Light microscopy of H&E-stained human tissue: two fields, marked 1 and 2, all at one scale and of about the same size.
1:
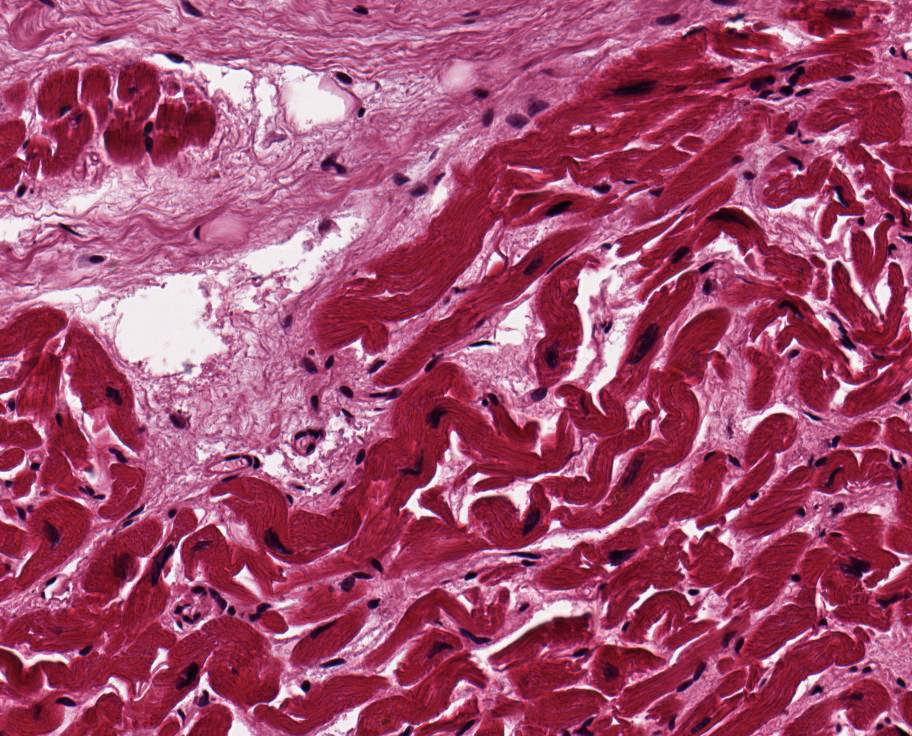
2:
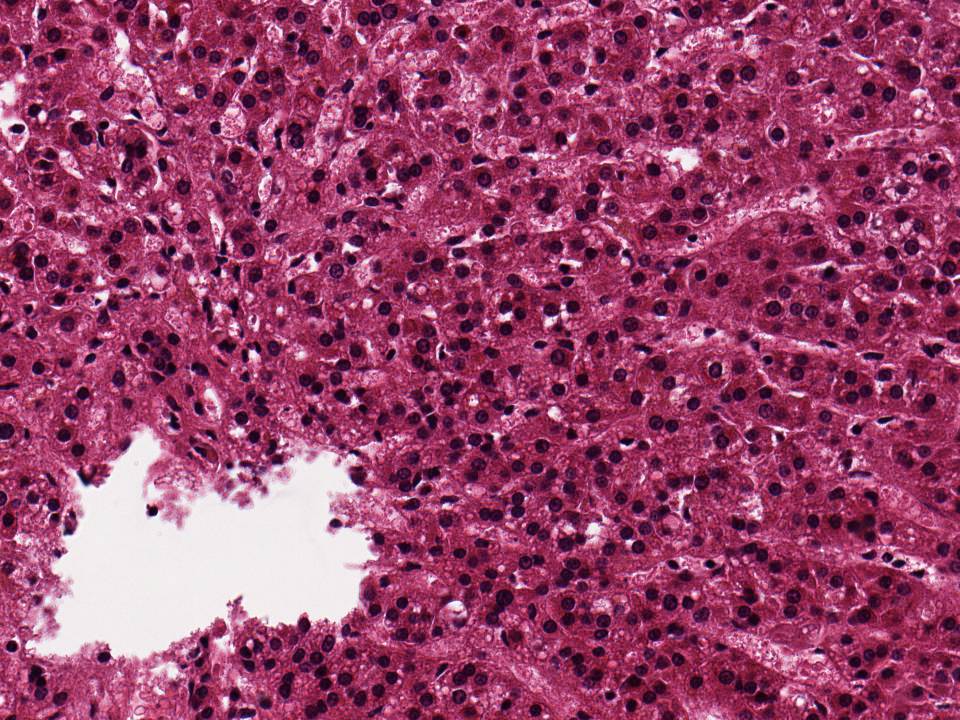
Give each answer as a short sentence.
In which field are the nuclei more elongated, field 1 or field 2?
The nuclei are more elongated in field 1.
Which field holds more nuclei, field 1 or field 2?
There are more nuclei in field 2.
